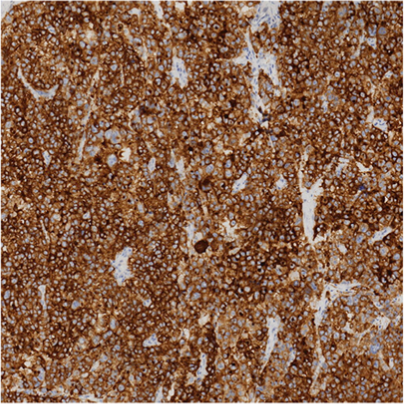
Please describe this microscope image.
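These are tumor cells packed in solid sheets, nearly all with strong brown staining of their cytoplasm that leaves the round nuclei as paler centres. Narrow blue, unstained strands of stroma and small vessels run between the stained cell masses.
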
